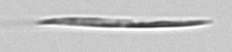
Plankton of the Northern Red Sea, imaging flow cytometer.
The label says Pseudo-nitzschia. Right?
Right.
